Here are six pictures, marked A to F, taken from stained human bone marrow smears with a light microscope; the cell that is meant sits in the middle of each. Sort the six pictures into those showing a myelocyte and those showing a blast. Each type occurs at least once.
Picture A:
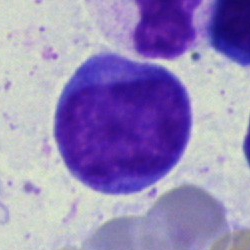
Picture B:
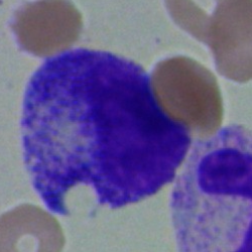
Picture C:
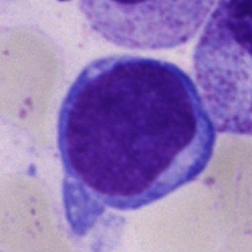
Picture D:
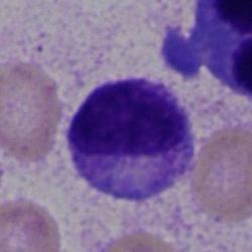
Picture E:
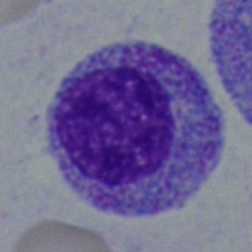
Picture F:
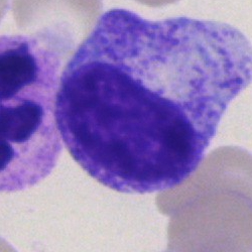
A: blast
B: myelocyte
C: blast
D: myelocyte
E: myelocyte
F: myelocyte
